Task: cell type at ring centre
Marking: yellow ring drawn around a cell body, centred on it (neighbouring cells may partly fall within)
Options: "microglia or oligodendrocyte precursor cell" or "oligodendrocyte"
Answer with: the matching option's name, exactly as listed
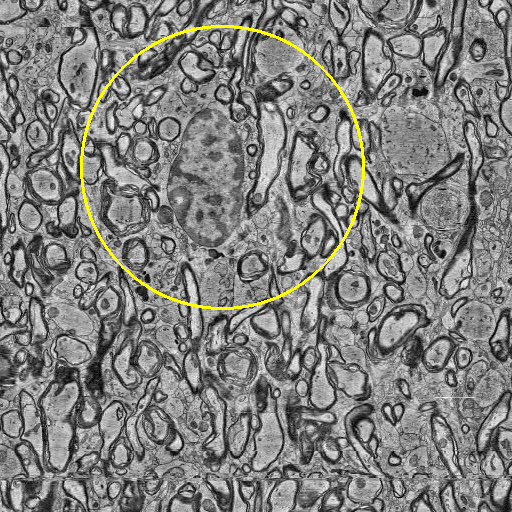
microglia or oligodendrocyte precursor cell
